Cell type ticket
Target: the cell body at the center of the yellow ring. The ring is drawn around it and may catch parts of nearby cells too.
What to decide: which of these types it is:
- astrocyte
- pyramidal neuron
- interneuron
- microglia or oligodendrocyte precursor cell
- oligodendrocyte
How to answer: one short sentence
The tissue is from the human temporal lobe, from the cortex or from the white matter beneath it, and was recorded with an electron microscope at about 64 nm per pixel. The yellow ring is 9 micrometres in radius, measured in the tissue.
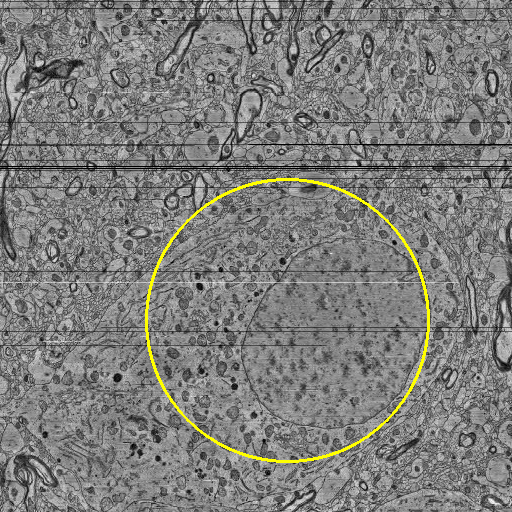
The cell at the center of the ring is an interneuron.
